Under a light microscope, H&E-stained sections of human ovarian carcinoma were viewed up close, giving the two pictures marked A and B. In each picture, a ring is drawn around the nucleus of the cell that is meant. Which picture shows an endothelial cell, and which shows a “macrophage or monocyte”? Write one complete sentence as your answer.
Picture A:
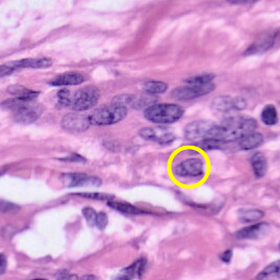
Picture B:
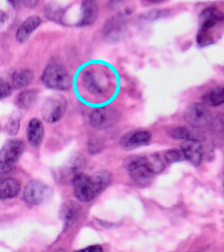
Picture A is of a “macrophage or monocyte”, and picture B is of an endothelial cell.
